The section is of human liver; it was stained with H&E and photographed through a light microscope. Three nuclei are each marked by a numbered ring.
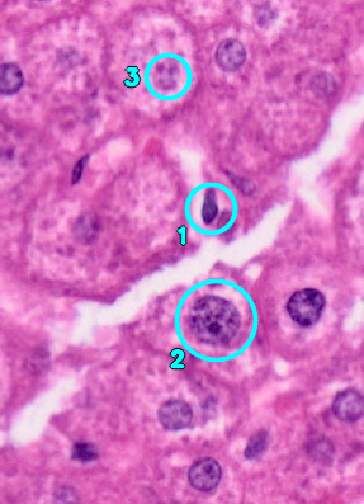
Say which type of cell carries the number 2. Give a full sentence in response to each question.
Recognised here as a hepatocyte is the cell numbered 2.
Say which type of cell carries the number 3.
Identified as a hepatocyte is the cell bearing the number 3.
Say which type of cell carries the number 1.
To a lymphocyte belongs the nucleus marked 1.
